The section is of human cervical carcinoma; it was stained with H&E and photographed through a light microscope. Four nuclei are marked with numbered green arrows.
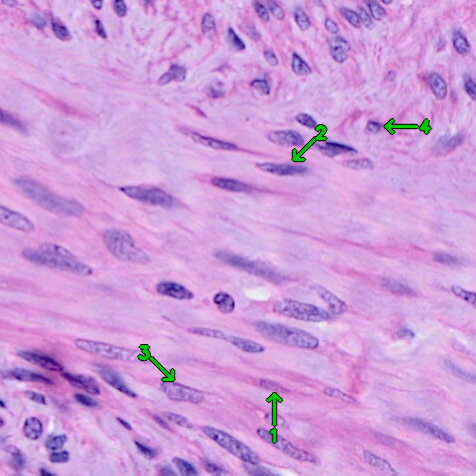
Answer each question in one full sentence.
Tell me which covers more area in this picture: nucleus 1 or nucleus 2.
Of the two, number 2 is bigger and takes up about 2.5 times the area of number 1.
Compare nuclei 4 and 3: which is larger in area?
It is nucleus 3, which covers about 4 times the area of nucleus 4.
